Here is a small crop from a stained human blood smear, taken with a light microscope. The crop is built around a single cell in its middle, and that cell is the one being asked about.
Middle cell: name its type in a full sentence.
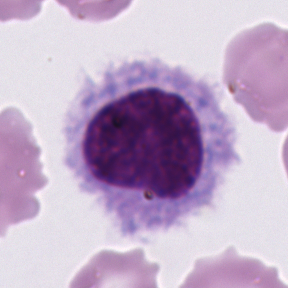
Seen at the centre of the crop is a hairy cell.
